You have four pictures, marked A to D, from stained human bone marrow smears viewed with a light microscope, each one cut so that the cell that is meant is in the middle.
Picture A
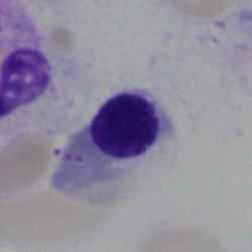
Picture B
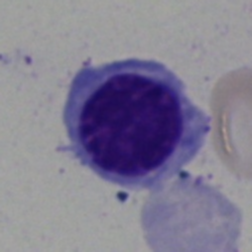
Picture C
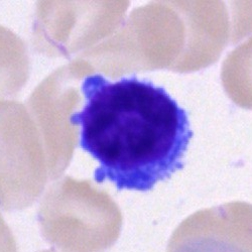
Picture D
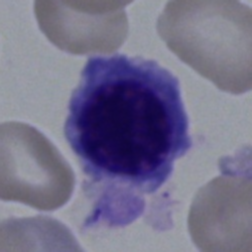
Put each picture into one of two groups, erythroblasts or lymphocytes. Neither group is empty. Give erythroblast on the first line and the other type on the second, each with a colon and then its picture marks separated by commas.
erythroblast: A, B, D
lymphocyte: C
